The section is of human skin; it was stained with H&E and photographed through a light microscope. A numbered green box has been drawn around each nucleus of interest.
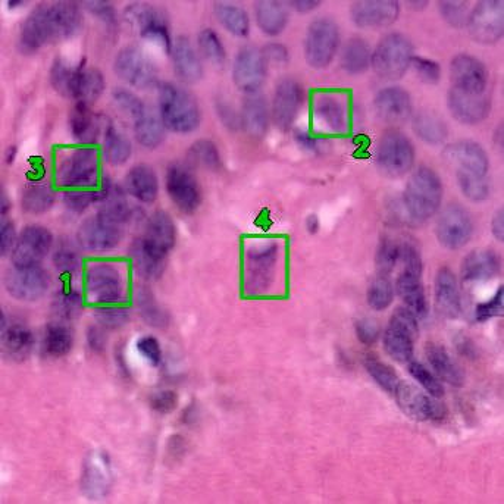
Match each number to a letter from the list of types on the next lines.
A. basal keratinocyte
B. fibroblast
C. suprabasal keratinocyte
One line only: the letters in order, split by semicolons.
A; A; A; B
